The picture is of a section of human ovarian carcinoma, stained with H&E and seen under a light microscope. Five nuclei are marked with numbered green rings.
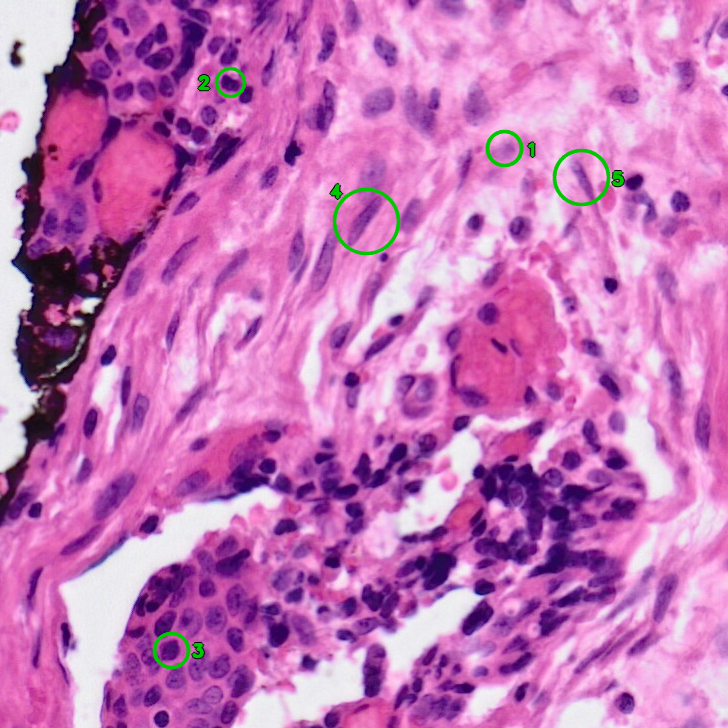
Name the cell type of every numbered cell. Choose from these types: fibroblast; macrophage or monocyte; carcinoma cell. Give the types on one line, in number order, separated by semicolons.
fibroblast; macrophage or monocyte; carcinoma cell; fibroblast; fibroblast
